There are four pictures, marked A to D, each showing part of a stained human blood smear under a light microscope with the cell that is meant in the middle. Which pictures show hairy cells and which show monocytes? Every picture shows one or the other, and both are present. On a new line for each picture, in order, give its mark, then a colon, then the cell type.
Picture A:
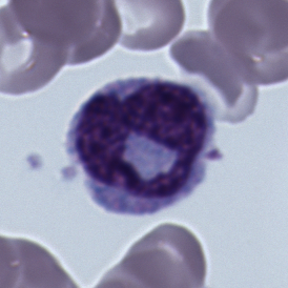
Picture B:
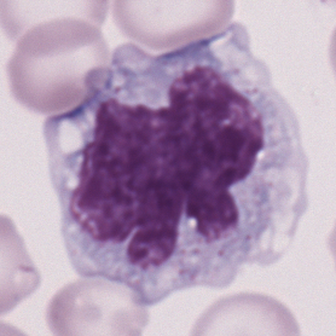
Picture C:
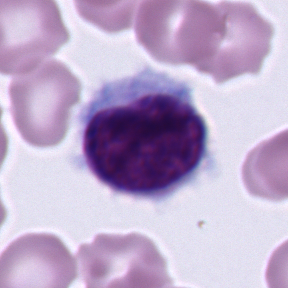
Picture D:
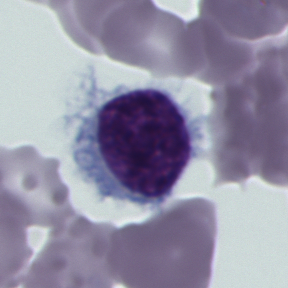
A: monocyte
B: monocyte
C: hairy cell
D: hairy cell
